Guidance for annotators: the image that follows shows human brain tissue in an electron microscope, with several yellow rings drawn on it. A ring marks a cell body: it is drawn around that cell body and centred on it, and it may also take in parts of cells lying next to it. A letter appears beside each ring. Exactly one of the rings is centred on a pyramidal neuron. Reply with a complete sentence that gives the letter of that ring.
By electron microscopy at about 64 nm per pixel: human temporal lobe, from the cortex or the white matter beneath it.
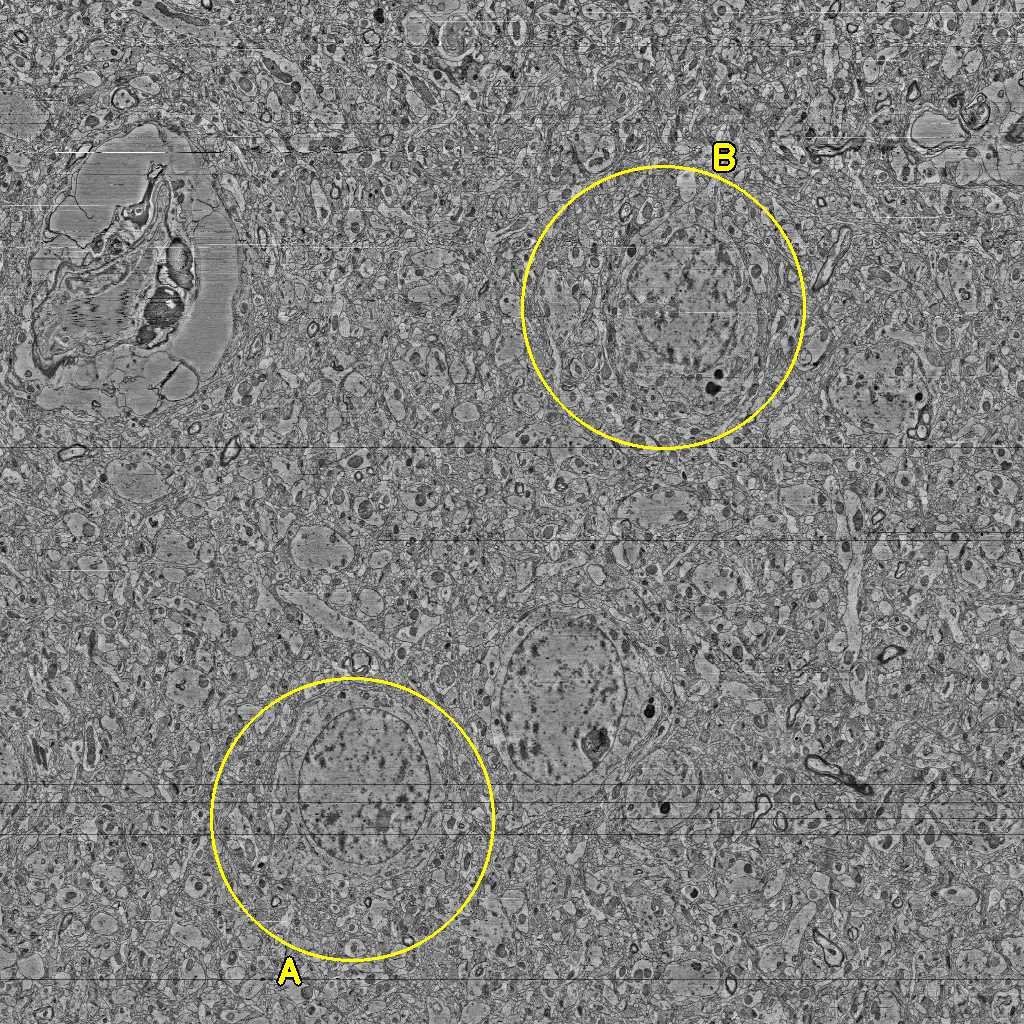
The ring lettered A is centred on that cell.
